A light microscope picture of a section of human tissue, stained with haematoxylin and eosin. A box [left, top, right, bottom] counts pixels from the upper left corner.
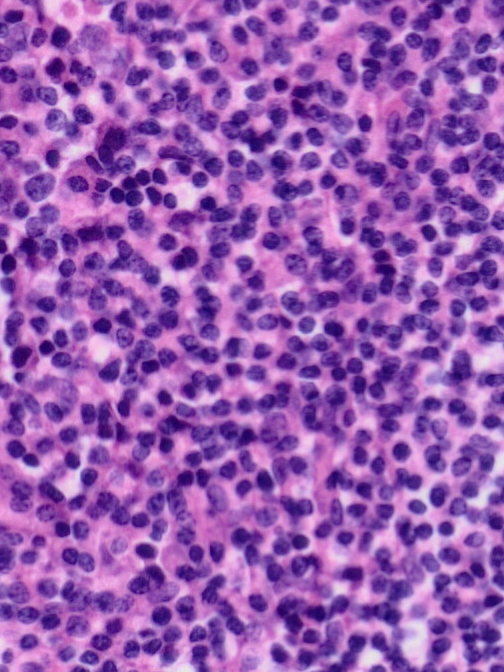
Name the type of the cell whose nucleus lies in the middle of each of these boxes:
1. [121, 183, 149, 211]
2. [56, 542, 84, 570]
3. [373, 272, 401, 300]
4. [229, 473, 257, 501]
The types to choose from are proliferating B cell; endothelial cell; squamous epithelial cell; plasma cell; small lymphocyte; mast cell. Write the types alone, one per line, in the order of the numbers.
small lymphocyte
plasma cell
small lymphocyte
small lymphocyte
